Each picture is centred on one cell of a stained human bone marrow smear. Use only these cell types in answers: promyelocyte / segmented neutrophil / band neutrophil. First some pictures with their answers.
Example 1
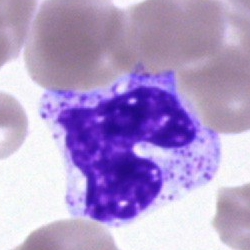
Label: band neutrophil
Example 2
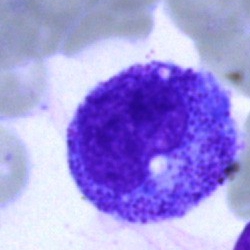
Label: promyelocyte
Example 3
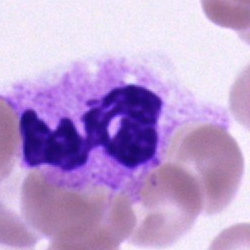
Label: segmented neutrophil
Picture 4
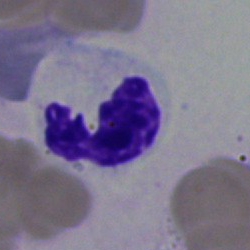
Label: segmented neutrophil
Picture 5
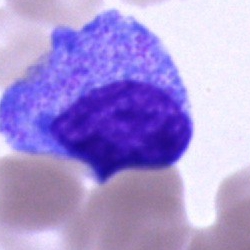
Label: promyelocyte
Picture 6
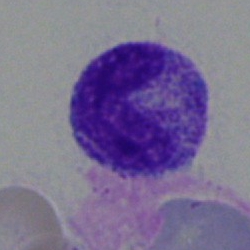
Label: band neutrophil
